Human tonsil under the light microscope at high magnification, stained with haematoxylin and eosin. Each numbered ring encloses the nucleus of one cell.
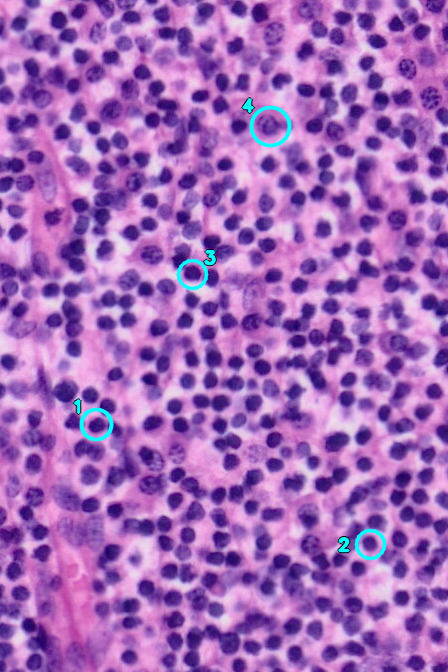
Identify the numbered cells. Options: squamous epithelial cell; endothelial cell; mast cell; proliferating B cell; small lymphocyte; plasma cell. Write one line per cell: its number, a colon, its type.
1: small lymphocyte
2: small lymphocyte
3: small lymphocyte
4: plasma cell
